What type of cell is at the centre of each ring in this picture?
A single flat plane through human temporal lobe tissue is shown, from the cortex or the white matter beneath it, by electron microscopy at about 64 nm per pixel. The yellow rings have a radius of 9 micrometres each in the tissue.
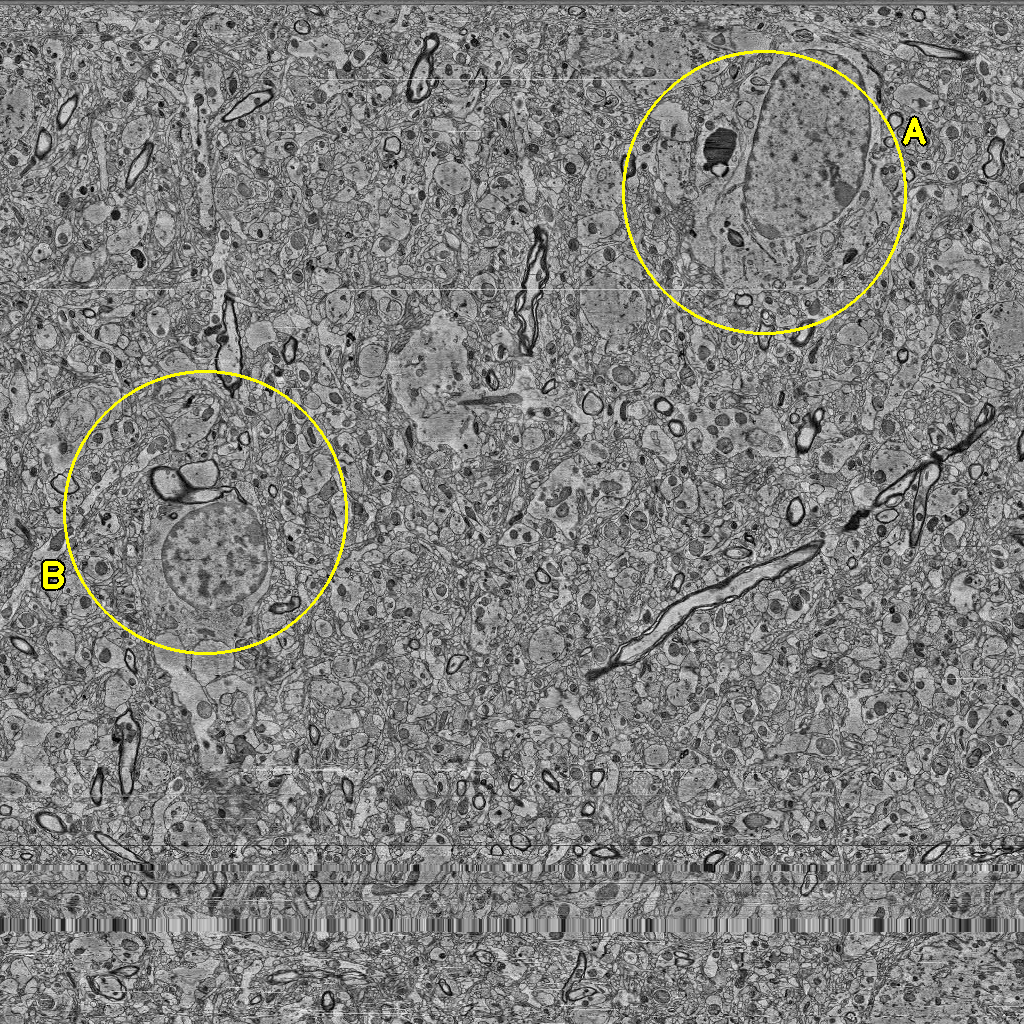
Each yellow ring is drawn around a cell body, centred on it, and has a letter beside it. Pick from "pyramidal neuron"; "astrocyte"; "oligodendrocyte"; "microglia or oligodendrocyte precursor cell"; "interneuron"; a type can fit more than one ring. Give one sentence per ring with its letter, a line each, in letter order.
The ring marked A is centred on a microglial cell or oligodendrocyte precursor cell.
The ring marked B is centred on an oligodendrocyte.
